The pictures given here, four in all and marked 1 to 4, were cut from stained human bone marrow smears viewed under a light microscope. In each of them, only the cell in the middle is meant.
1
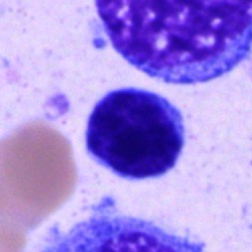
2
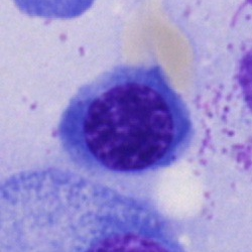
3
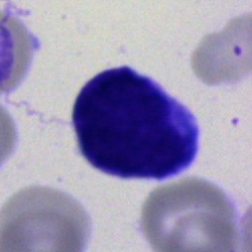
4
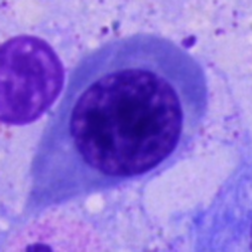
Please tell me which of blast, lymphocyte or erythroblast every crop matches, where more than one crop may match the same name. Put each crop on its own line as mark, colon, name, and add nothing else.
1: lymphocyte
2: erythroblast
3: blast
4: erythroblast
